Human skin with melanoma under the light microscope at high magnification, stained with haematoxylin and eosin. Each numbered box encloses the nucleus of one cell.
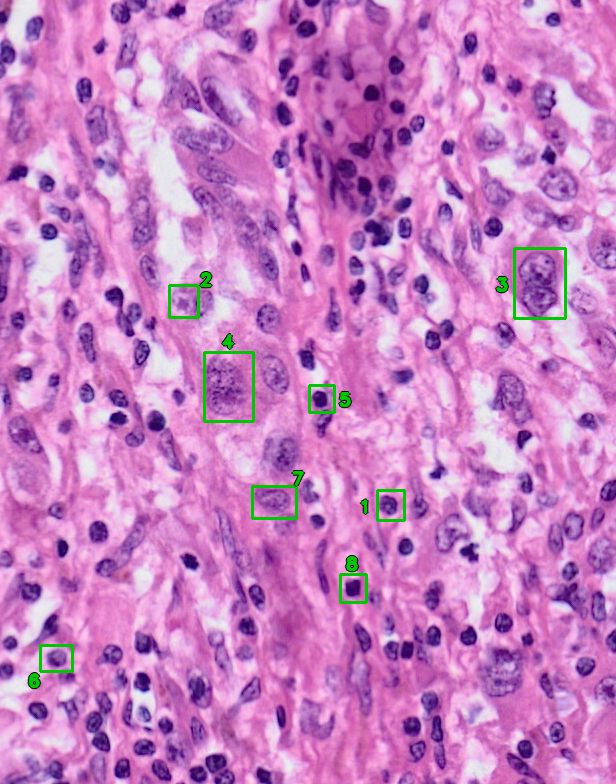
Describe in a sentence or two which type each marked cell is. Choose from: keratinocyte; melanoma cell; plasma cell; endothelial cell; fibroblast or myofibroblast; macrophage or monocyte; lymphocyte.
Cells 1, 5, 6 and 8 are lymphocytes. Cells 2, 3, 4 and 7 are melanoma cells.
